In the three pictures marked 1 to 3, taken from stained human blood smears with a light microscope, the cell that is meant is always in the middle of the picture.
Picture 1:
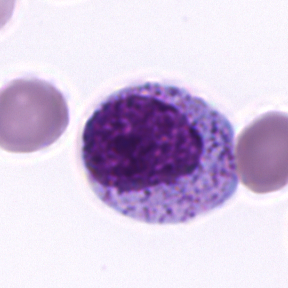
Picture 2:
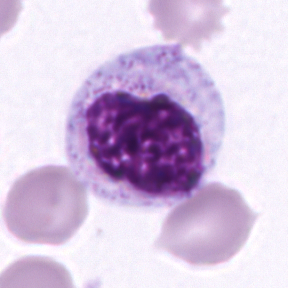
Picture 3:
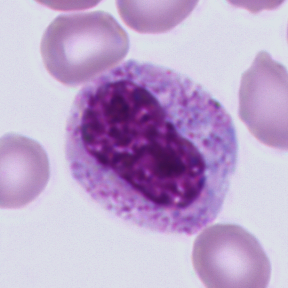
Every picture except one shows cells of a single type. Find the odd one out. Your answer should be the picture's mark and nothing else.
1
